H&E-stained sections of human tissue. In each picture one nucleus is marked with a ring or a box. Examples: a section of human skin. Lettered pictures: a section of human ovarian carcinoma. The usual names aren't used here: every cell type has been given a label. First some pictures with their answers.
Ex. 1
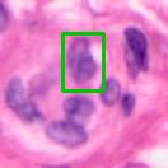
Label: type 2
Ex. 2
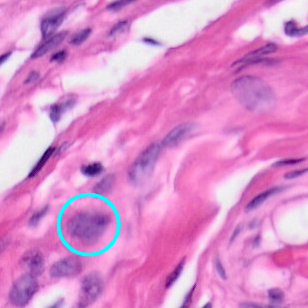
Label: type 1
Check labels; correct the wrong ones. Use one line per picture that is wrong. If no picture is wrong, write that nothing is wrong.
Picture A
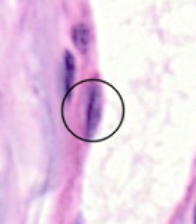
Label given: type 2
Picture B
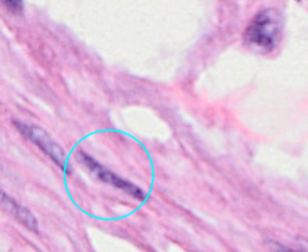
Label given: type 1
All correct.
